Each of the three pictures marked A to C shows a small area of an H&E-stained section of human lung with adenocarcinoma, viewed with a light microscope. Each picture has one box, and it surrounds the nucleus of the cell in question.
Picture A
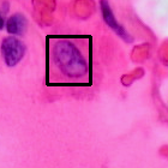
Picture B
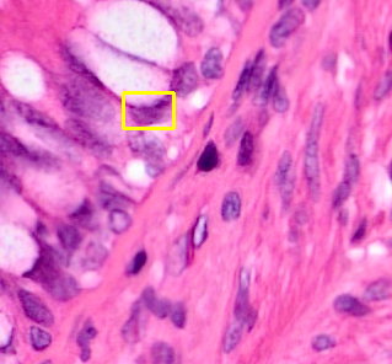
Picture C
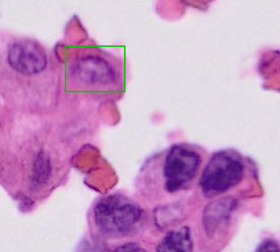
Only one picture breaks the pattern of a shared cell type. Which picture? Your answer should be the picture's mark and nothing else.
B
